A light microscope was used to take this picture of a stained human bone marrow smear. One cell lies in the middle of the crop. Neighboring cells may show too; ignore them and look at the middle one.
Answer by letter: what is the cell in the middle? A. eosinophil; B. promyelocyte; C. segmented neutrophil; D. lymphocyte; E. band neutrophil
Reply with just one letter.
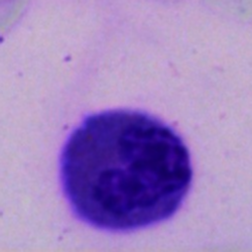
A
